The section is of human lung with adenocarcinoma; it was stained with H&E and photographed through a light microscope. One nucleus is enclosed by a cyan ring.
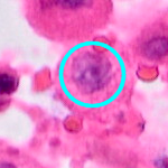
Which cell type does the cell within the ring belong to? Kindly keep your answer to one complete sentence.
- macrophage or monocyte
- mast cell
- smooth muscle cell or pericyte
Students should answer that the cell within the ring is a macrophage or monocyte.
